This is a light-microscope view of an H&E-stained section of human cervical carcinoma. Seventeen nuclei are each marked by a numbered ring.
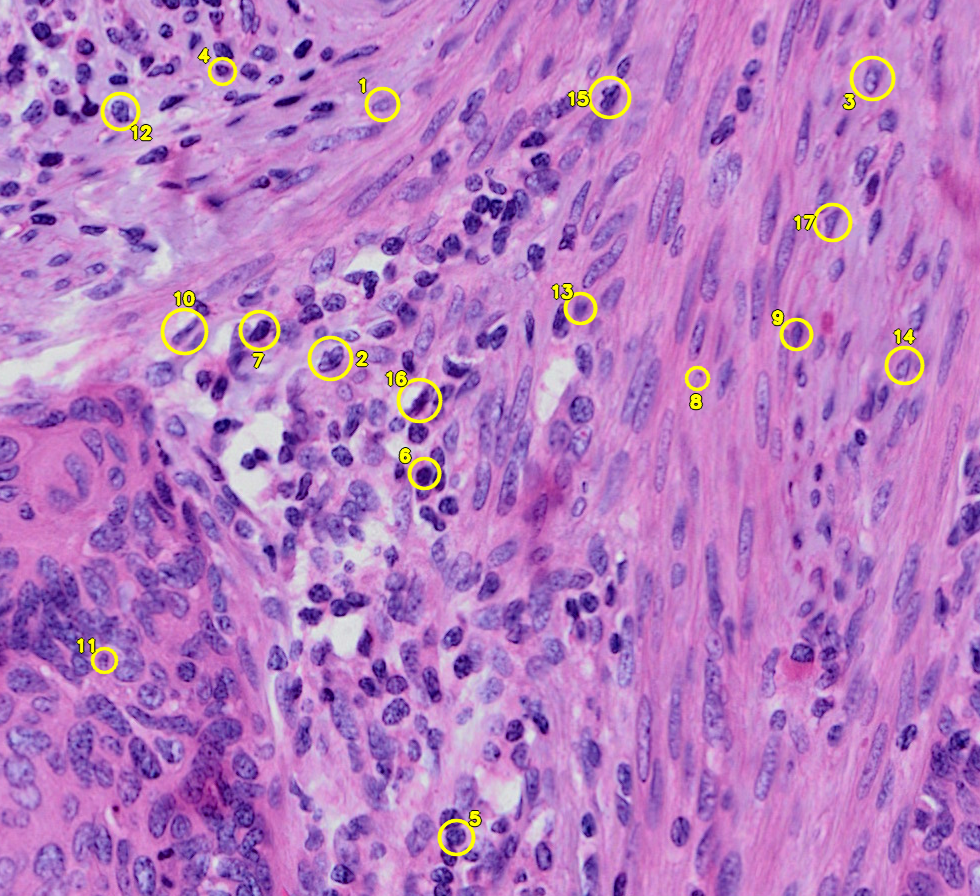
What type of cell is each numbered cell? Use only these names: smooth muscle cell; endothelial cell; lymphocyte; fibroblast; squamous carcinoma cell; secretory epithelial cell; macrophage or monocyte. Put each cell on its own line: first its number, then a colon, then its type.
1: smooth muscle cell
2: lymphocyte
3: smooth muscle cell
4: fibroblast
5: lymphocyte
6: lymphocyte
7: lymphocyte
8: smooth muscle cell
9: smooth muscle cell
10: lymphocyte
11: squamous carcinoma cell
12: lymphocyte
13: smooth muscle cell
14: smooth muscle cell
15: lymphocyte
16: lymphocyte
17: smooth muscle cell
